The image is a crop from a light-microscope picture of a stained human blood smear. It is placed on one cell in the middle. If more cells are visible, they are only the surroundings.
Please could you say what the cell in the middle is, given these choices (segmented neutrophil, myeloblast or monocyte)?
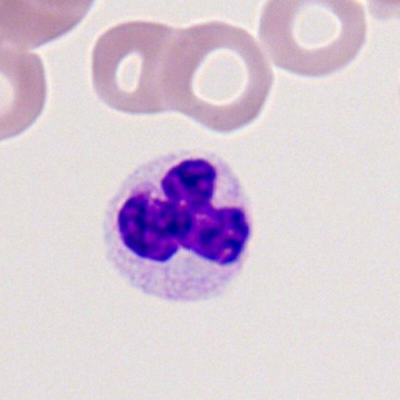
segmented neutrophil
